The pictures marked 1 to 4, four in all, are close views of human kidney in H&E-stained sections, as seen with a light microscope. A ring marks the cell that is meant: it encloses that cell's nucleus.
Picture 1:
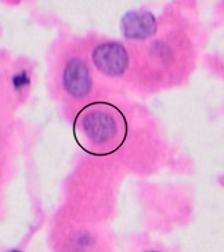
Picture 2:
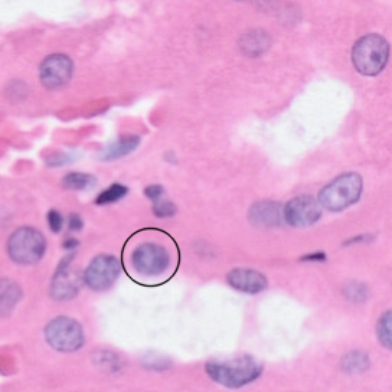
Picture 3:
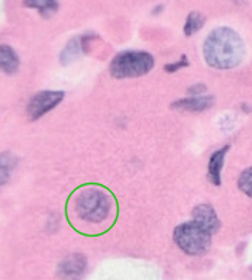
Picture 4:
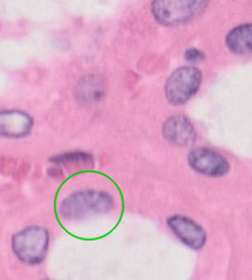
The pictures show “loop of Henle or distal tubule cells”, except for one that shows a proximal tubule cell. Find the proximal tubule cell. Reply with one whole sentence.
The picture with the proximal tubule cell is 1.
